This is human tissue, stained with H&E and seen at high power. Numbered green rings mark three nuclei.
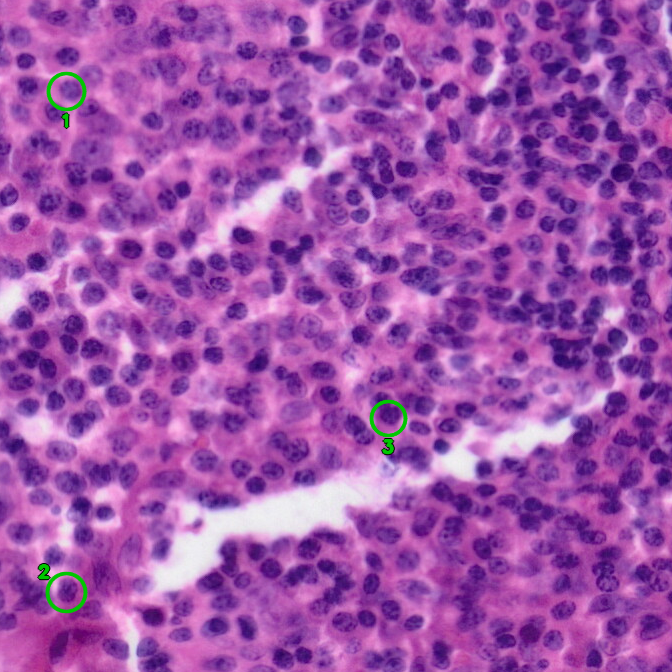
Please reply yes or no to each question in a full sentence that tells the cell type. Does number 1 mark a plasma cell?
Yes, the cell that bears the number 1 is a plasma cell.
